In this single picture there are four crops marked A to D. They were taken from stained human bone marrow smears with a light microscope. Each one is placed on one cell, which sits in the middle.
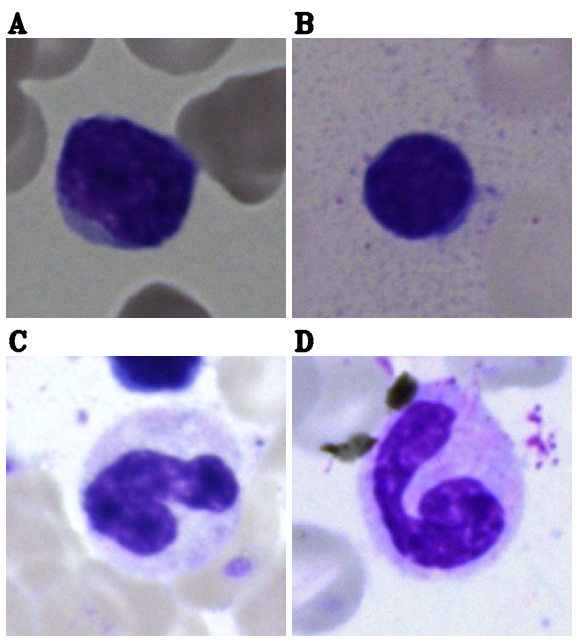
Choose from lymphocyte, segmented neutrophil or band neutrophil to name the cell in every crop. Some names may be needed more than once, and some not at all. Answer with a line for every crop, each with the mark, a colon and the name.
A: lymphocyte
B: lymphocyte
C: band neutrophil
D: segmented neutrophil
